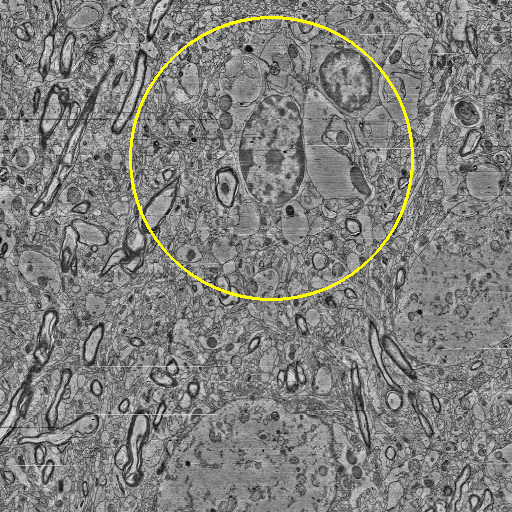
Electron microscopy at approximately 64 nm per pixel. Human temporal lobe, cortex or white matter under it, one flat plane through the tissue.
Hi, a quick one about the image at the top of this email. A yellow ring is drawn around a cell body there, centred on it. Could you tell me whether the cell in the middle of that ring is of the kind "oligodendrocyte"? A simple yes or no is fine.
no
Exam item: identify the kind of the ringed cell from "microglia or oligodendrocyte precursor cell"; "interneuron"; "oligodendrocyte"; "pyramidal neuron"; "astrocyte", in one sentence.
It is a microglial cell or oligodendrocyte precursor cell that the ring is centred on.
